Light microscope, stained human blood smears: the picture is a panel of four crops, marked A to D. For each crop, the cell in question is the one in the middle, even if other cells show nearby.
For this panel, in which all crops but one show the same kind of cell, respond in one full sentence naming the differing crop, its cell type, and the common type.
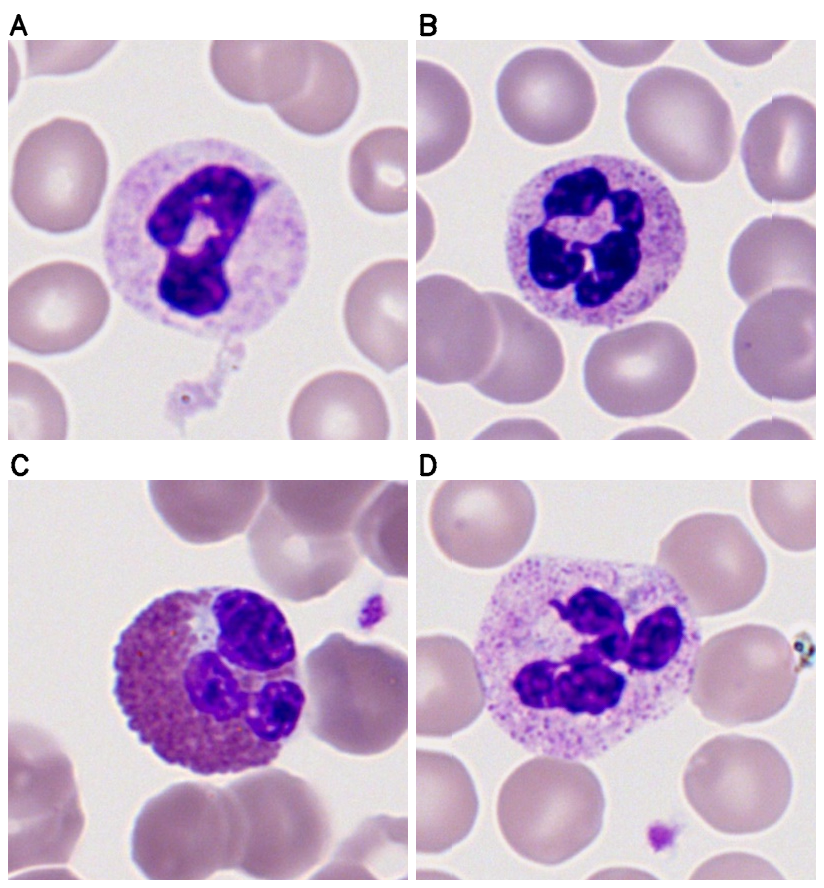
The central cell of crop C is an eosinophil, while the other crops show segmented neutrophils.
